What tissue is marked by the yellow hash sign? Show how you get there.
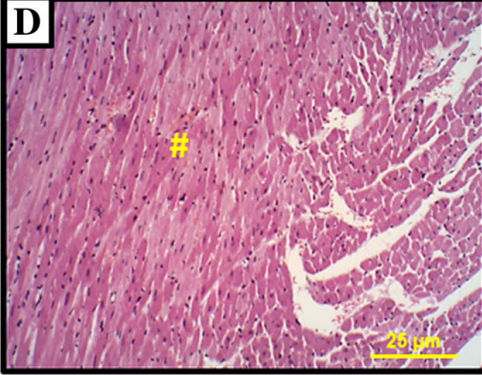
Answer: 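Long pink fibres run in parallel. Fibres branch and are separated by thin clefts.
Conclusion: cardiac muscle tissue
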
